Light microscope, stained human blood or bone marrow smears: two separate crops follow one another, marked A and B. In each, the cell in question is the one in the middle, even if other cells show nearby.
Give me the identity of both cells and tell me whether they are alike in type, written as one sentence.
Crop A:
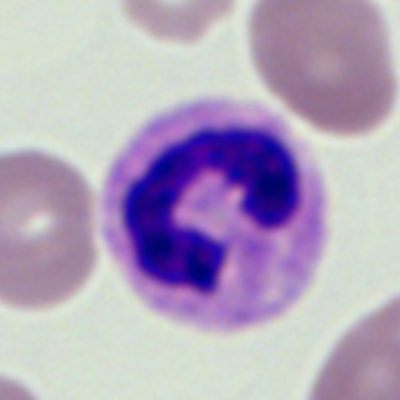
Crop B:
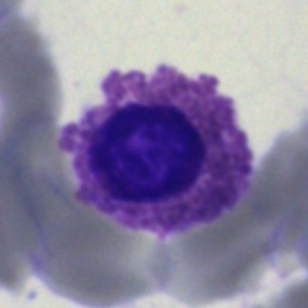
No, crop A contains a band neutrophil; an eosinophil is what crop B contains.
